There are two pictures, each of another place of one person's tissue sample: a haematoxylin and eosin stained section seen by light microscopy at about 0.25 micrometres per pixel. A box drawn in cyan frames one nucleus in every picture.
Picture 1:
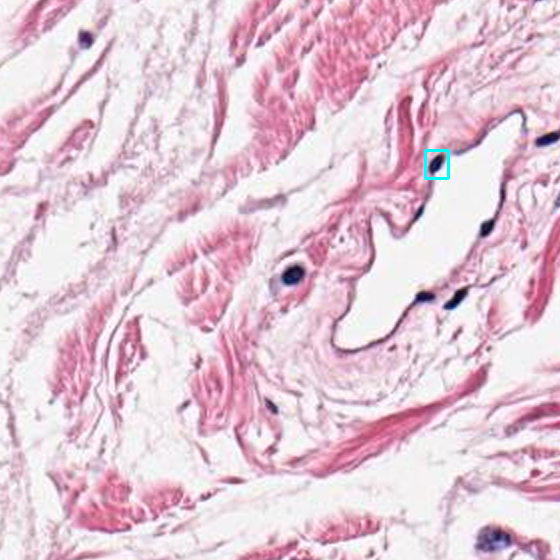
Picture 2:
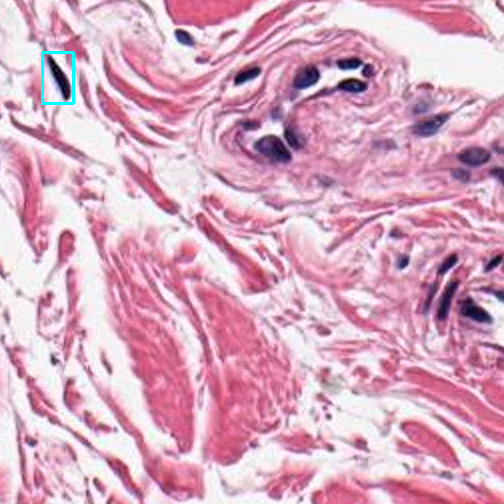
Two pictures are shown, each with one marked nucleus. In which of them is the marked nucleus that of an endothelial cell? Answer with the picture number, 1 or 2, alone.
1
